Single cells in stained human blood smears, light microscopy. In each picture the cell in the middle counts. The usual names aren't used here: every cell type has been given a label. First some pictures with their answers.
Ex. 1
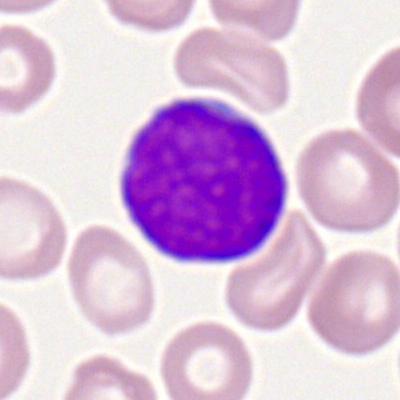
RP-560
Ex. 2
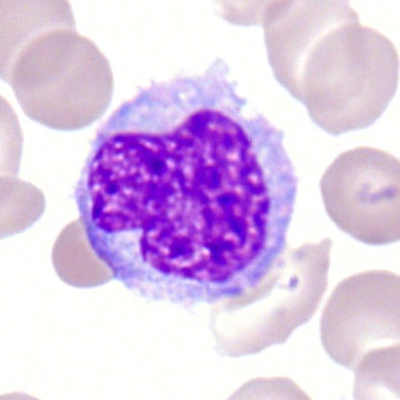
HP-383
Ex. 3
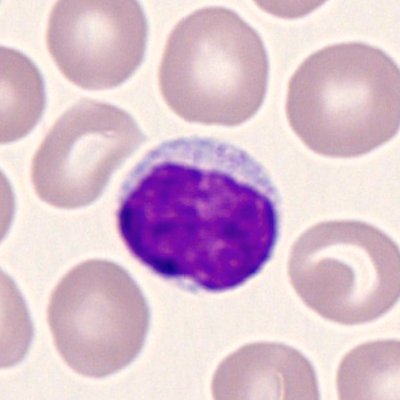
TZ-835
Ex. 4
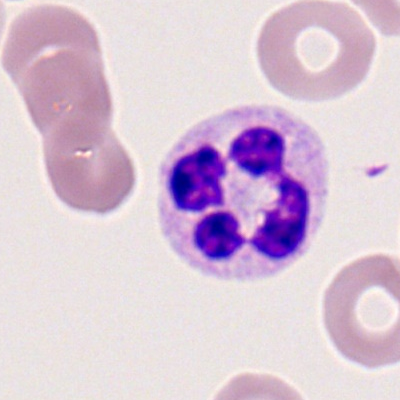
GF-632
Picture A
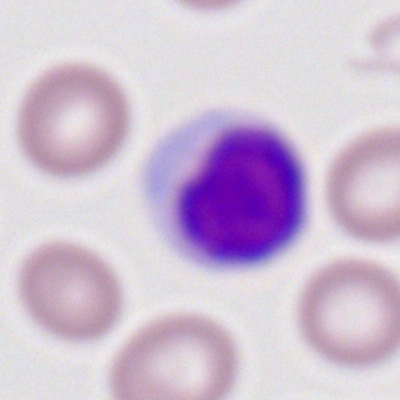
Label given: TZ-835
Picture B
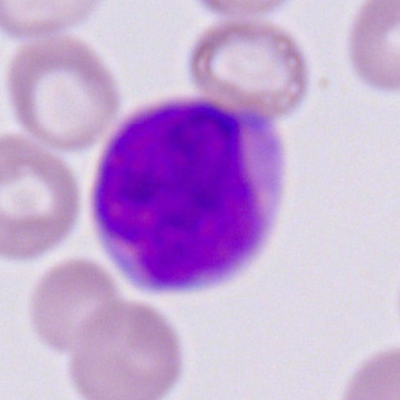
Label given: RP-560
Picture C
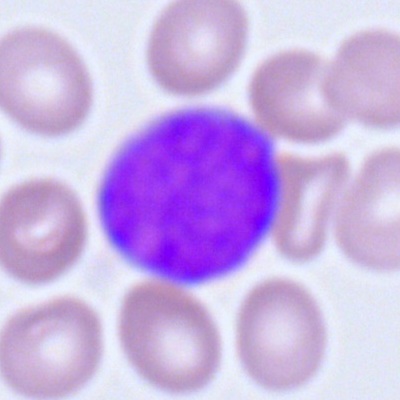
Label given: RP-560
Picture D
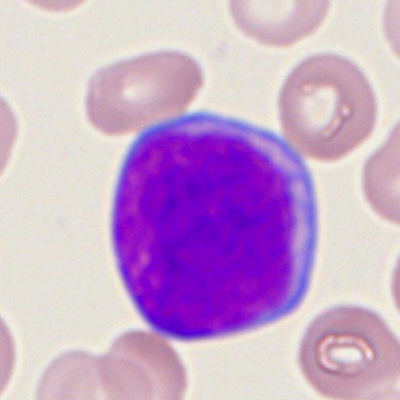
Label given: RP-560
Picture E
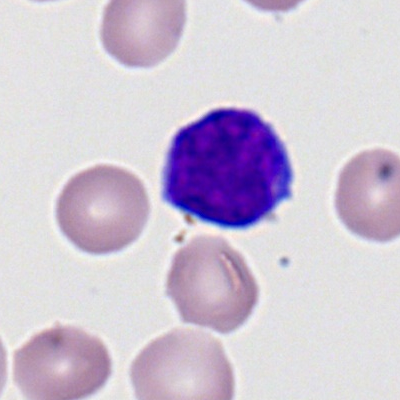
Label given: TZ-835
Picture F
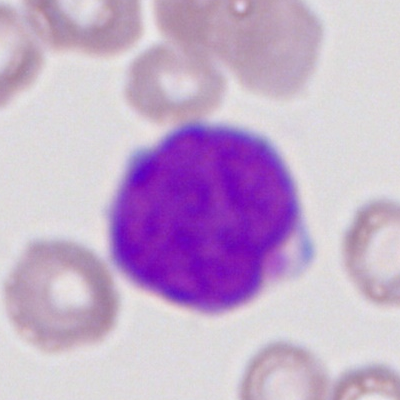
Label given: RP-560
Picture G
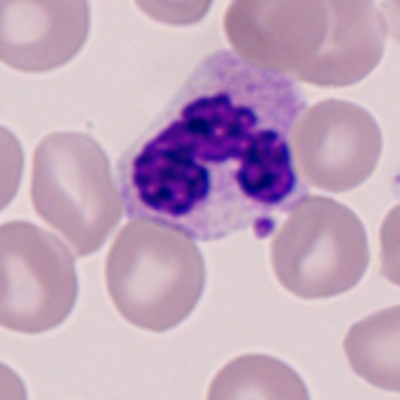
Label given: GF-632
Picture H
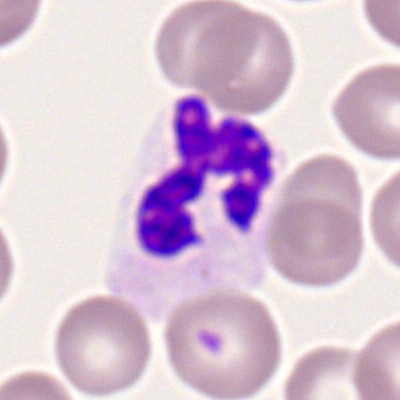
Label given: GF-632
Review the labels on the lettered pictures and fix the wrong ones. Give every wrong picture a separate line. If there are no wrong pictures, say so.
Nothing to fix; every label fits.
